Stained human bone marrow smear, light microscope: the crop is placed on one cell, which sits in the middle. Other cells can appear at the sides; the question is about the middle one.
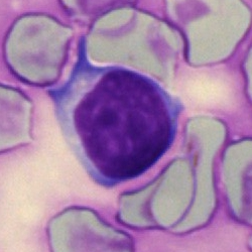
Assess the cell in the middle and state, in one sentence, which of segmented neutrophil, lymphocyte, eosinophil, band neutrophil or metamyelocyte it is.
To answer, the cell in the center of the crop is a lymphocyte.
